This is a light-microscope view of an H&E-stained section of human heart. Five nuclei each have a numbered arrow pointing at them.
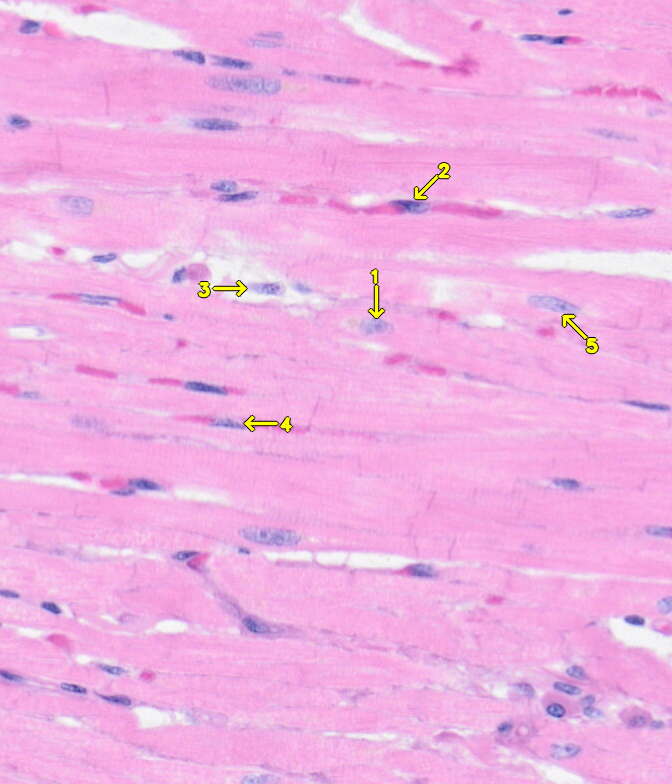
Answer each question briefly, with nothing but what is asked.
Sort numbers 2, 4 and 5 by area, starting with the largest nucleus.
5, 2, 4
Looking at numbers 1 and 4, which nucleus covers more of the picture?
1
